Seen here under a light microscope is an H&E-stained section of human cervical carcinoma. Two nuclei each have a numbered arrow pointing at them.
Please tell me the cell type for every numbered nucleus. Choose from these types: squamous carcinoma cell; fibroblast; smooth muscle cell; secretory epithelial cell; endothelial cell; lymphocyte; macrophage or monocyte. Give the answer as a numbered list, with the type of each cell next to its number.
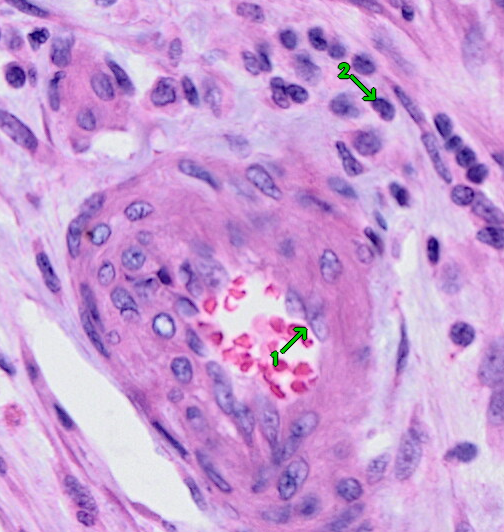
1. endothelial cell
2. lymphocyte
